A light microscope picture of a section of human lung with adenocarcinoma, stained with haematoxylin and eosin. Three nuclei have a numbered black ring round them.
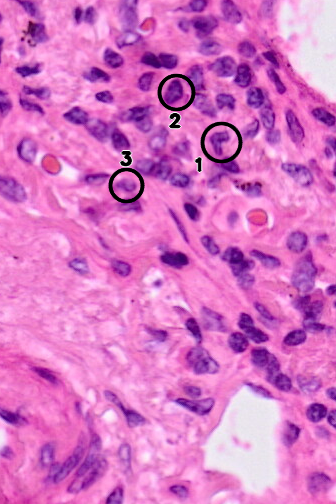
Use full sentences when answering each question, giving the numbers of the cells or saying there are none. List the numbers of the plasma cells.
The numbers 2 and 3 mark cells that are plasma cells.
